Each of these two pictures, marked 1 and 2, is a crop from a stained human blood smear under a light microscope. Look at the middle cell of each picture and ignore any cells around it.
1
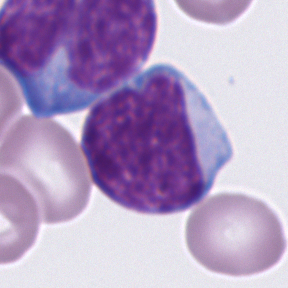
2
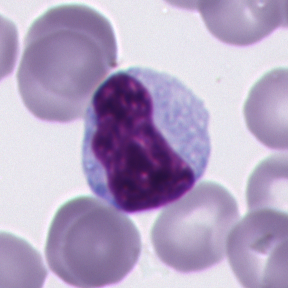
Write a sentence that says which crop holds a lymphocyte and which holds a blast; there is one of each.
So, crop 1 is a blast, and crop 2 is a lymphocyte.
